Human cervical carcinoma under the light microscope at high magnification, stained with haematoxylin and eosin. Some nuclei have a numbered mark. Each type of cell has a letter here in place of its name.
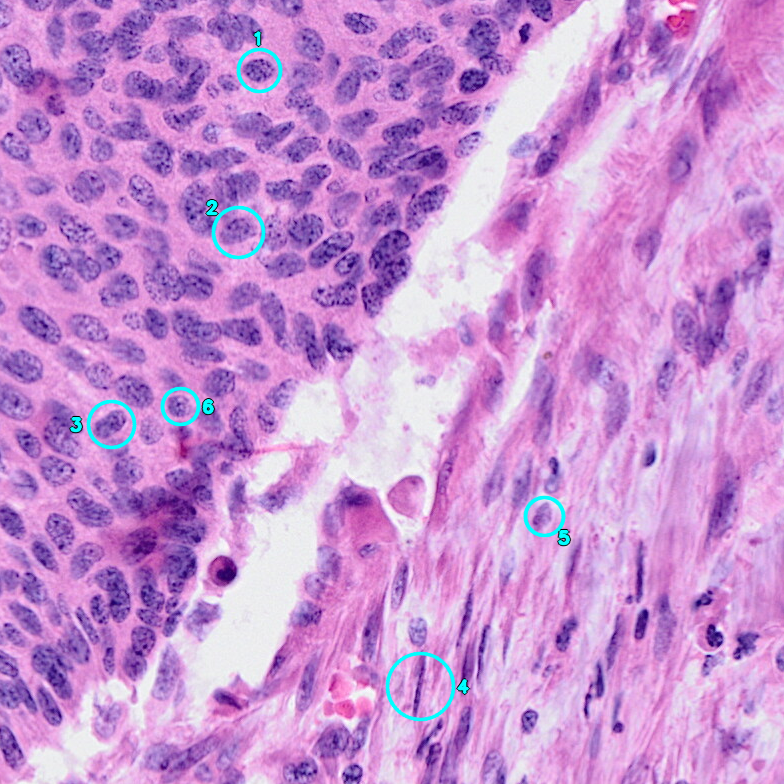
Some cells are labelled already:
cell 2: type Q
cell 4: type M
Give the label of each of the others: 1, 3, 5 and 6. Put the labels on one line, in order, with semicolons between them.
type Q; type Q; type M; type Q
